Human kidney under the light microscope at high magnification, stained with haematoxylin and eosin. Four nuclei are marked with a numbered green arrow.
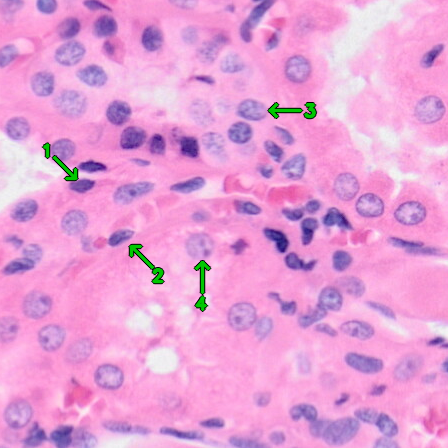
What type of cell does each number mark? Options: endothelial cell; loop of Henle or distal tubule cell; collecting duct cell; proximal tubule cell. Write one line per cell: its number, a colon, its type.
1: loop of Henle or distal tubule cell
2: endothelial cell
3: collecting duct cell
4: proximal tubule cell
